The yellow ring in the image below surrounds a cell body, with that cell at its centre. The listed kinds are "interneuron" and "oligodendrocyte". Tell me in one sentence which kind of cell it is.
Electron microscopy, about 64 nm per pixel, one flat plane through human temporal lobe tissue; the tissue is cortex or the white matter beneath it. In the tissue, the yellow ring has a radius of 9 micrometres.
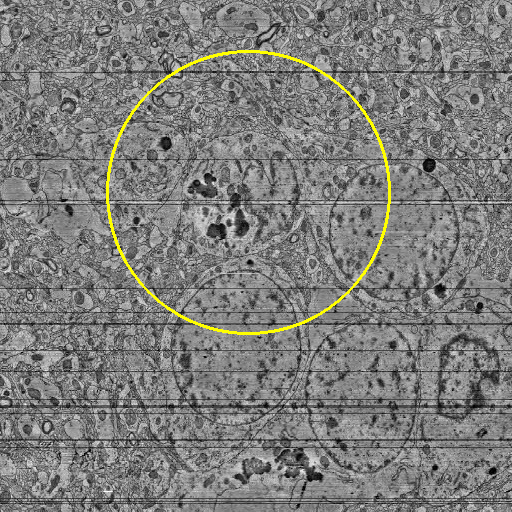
The centre of the ring holds an interneuron.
